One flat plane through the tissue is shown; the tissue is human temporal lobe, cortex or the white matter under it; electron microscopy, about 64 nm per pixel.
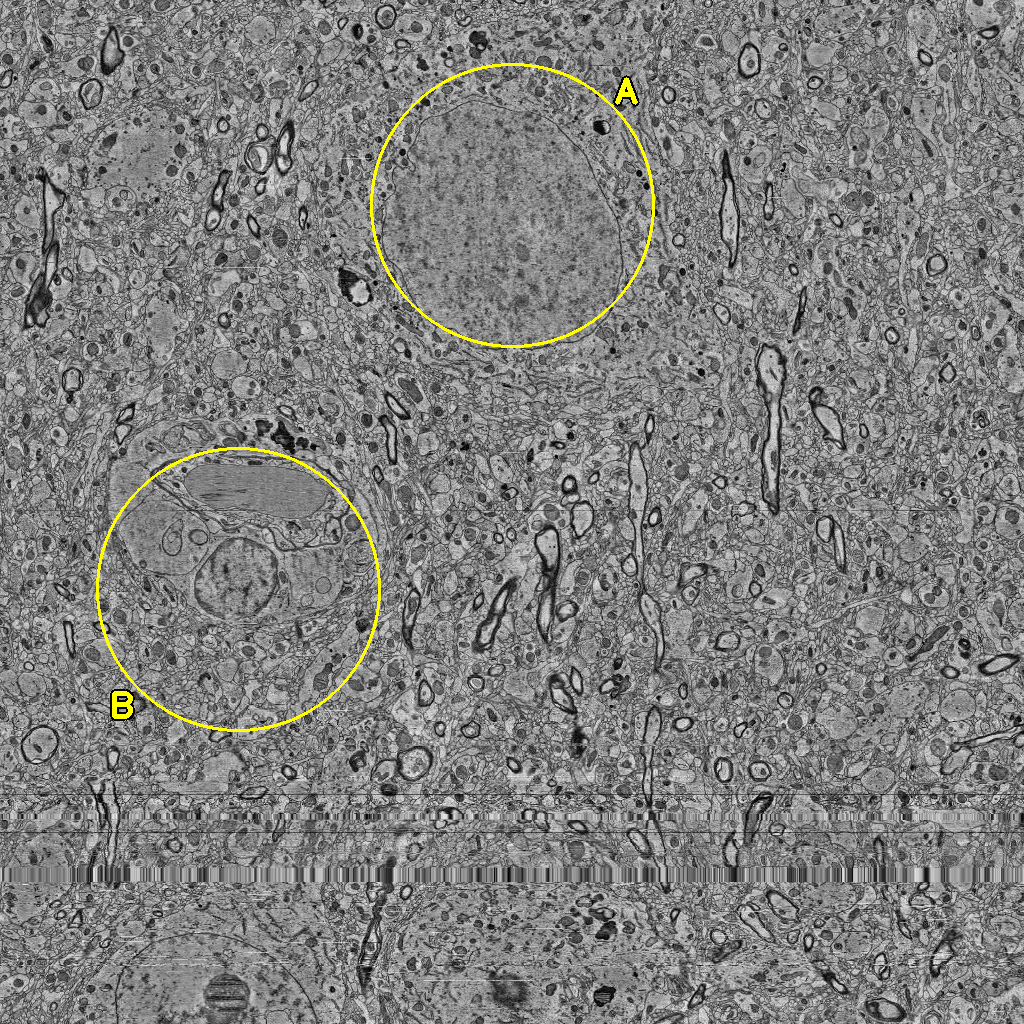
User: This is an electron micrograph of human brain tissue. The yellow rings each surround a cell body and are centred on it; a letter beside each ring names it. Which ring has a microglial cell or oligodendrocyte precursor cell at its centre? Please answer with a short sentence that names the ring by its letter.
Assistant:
Ring B has it at its centre.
